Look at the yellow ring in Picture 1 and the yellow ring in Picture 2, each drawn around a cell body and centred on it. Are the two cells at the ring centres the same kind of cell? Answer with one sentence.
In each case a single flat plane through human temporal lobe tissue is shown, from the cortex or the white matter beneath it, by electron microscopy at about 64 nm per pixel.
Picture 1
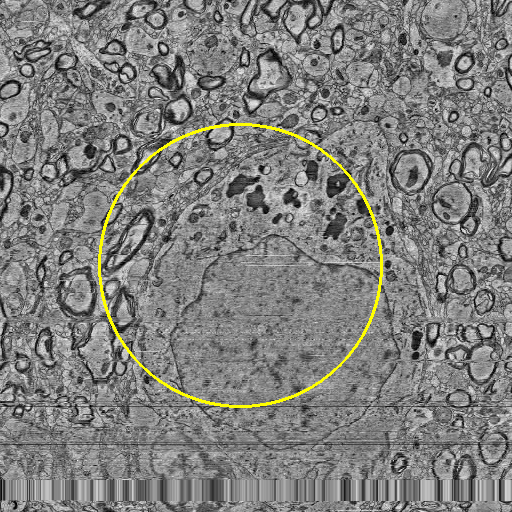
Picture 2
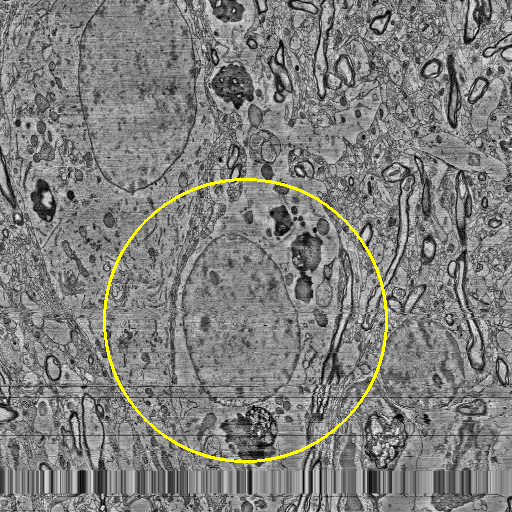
No, they are cells of two kinds.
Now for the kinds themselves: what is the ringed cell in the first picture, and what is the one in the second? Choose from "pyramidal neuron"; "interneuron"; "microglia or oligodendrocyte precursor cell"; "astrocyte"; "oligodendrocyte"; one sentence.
Here the first cell is a pyramidal neuron and the second cell is an astrocyte.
